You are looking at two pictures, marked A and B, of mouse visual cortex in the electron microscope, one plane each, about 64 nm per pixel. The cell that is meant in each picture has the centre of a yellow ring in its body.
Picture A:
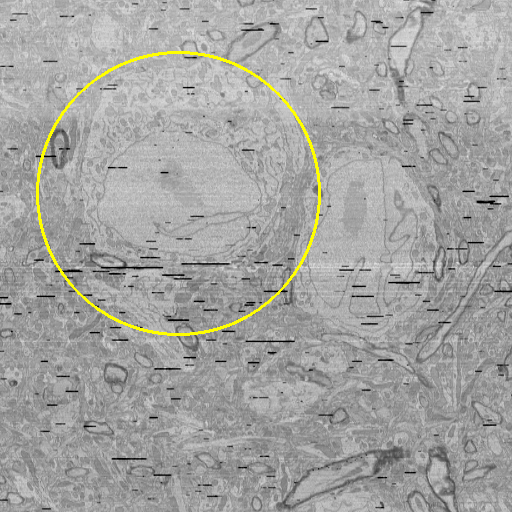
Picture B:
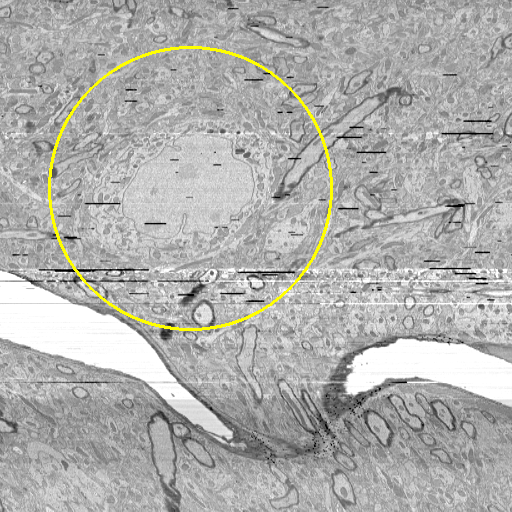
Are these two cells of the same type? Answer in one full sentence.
Yes, both cells are inhibitory neurons.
